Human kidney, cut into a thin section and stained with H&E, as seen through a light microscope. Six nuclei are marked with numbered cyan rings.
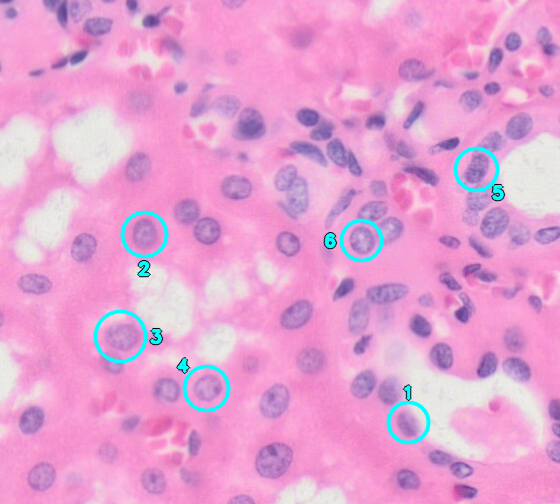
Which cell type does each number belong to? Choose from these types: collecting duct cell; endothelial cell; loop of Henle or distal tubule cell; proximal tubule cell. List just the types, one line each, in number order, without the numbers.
collecting duct cell
proximal tubule cell
proximal tubule cell
proximal tubule cell
collecting duct cell
collecting duct cell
